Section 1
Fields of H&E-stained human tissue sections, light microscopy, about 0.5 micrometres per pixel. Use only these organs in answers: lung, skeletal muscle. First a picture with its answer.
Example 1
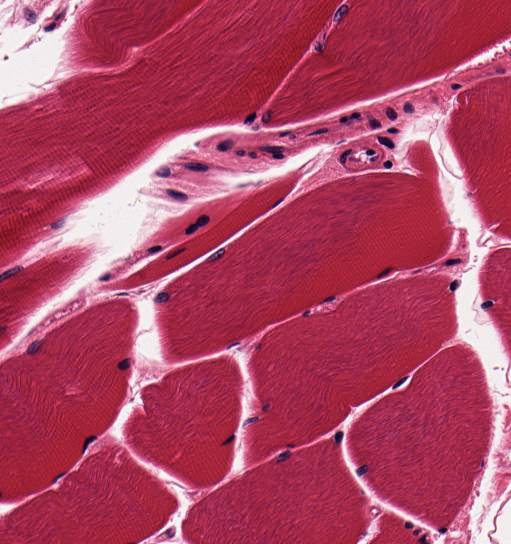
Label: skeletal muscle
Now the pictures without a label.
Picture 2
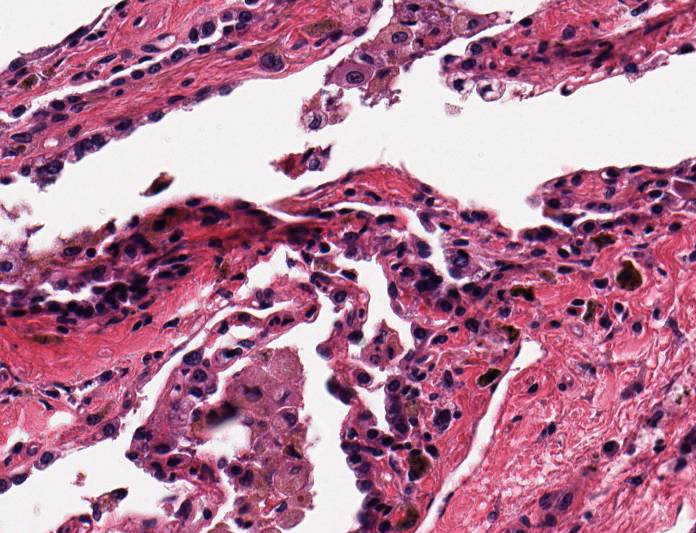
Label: lung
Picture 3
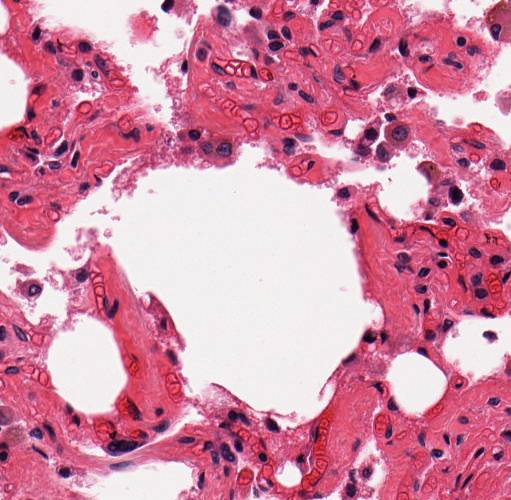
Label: lung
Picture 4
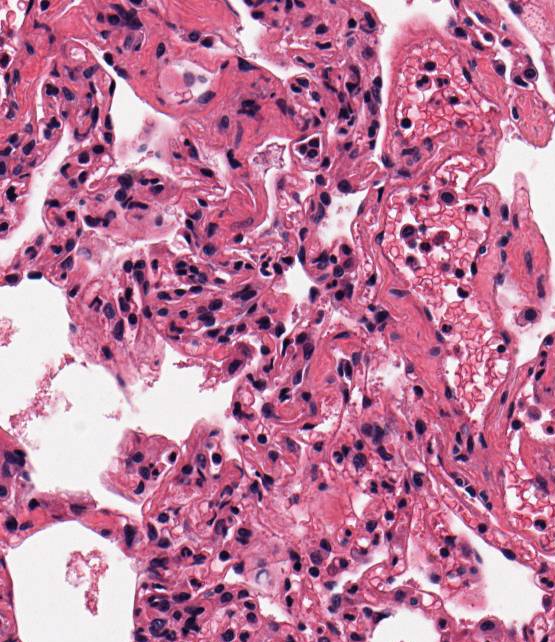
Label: lung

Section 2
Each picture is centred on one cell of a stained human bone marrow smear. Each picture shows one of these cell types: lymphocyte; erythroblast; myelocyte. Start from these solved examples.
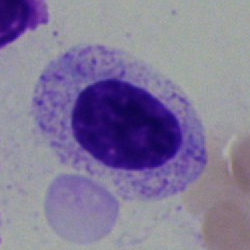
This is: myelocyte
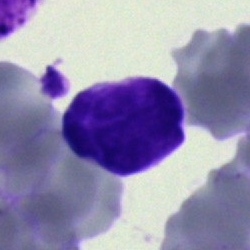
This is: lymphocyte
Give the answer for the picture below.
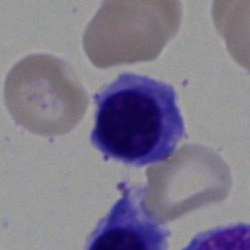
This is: erythroblast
